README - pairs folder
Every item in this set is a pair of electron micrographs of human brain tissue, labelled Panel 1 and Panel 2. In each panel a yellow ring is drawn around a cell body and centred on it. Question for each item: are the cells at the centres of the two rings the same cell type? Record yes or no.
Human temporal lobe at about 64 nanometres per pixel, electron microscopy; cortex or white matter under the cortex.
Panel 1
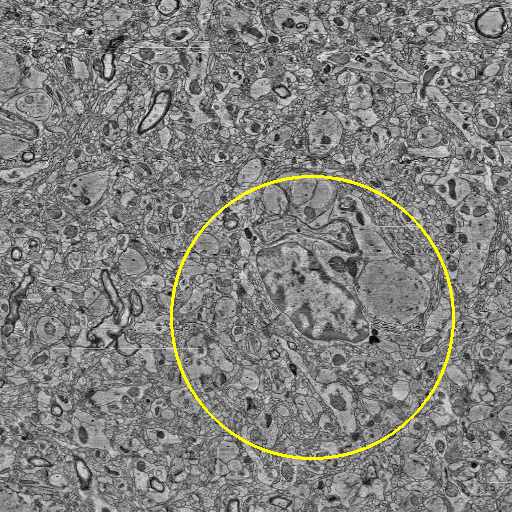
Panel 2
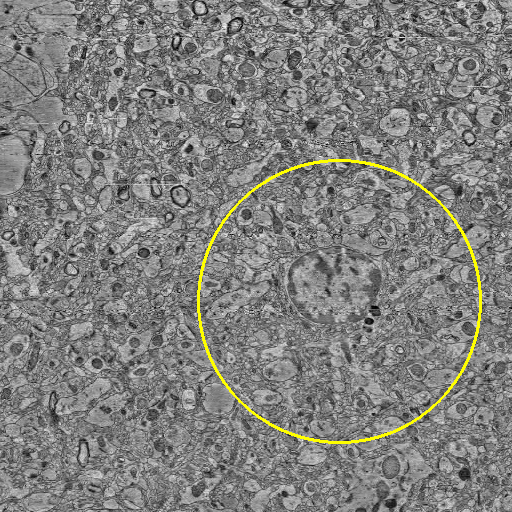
yes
